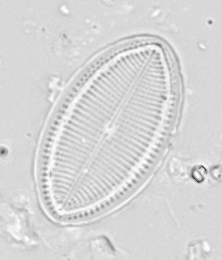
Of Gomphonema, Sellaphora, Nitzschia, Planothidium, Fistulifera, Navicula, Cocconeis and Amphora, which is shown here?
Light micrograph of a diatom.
Cocconeis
